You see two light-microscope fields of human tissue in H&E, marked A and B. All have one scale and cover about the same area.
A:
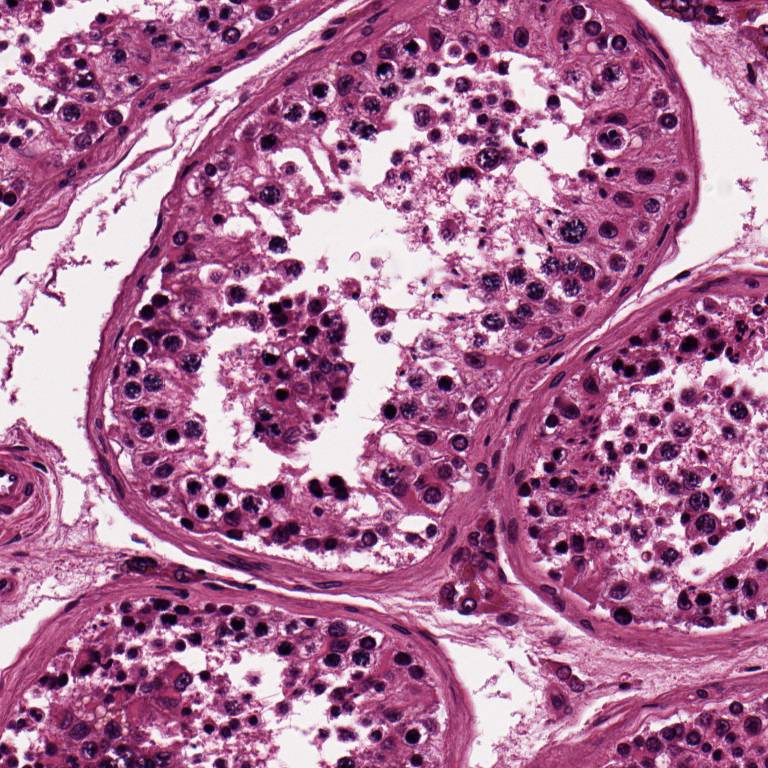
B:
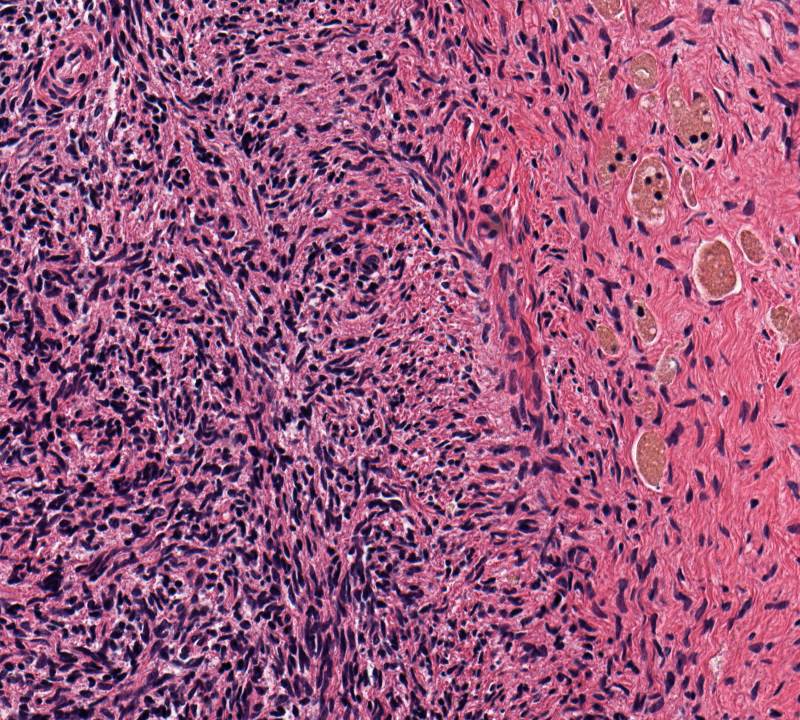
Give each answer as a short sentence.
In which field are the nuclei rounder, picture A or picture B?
Rounder nuclei lie in picture A.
